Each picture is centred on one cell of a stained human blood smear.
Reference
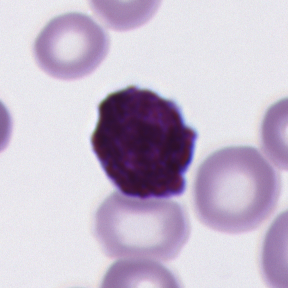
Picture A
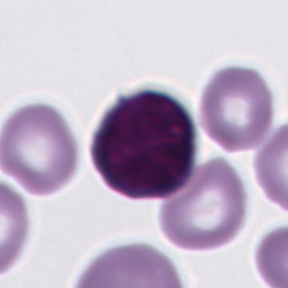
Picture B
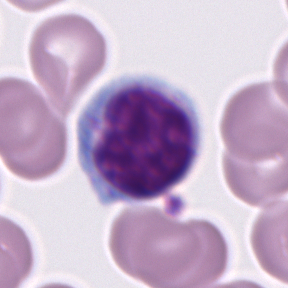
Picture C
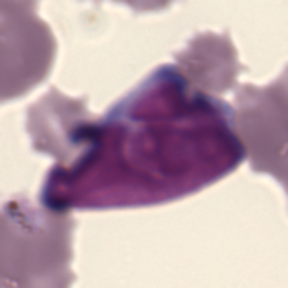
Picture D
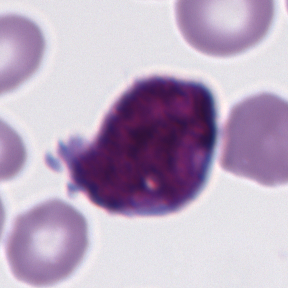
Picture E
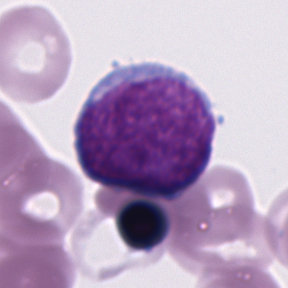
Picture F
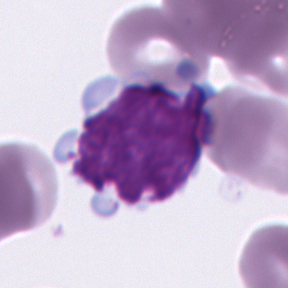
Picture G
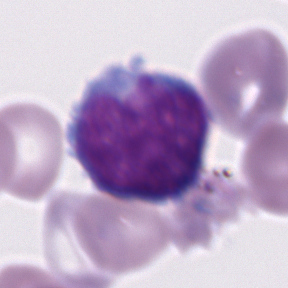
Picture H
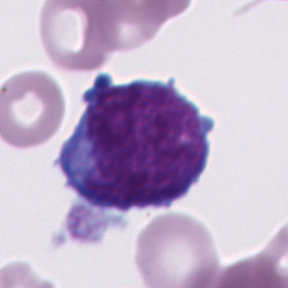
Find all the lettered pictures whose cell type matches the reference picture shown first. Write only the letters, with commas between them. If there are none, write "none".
A, C, D, E, G, H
